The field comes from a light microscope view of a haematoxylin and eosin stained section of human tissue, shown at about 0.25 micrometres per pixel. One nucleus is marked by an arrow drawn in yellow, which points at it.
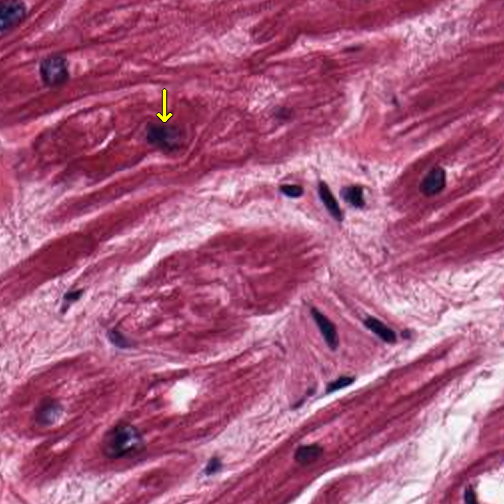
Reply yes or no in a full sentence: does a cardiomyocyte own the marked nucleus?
Yes, the marked nucleus is found within a cardiomyocyte.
